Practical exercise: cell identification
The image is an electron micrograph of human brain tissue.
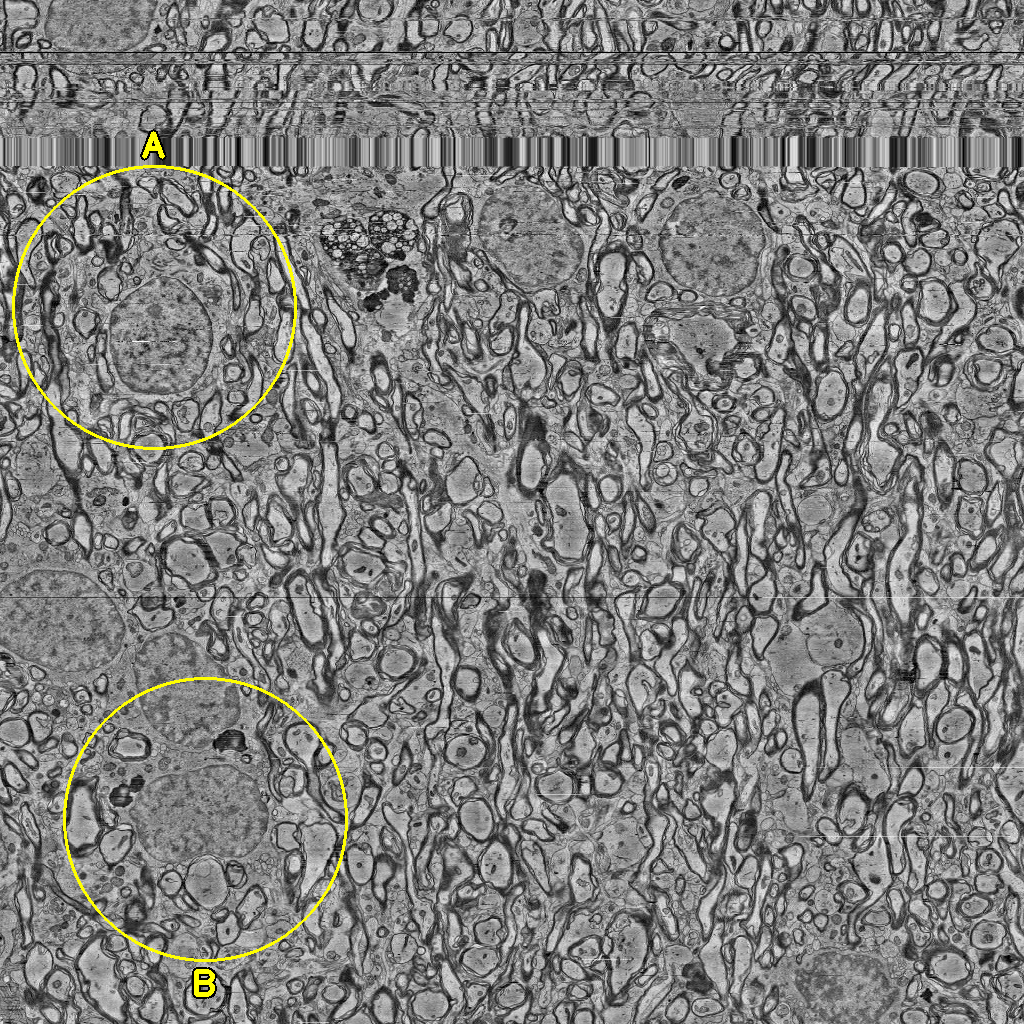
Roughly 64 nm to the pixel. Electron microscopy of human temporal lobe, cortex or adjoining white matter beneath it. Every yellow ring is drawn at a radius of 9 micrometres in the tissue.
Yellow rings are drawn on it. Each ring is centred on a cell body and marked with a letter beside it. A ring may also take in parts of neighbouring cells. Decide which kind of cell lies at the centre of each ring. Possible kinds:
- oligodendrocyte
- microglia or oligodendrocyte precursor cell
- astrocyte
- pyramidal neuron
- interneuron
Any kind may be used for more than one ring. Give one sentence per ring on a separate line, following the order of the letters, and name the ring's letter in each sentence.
The cell in the middle of ring A is a microglial cell or oligodendrocyte precursor cell.
The cell in the middle of ring B is an oligodendrocyte.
